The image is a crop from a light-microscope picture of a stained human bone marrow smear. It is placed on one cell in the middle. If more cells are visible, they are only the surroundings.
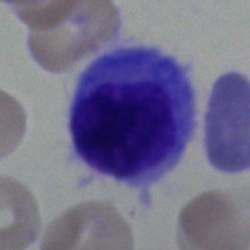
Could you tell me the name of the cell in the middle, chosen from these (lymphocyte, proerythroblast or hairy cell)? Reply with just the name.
hairy cell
